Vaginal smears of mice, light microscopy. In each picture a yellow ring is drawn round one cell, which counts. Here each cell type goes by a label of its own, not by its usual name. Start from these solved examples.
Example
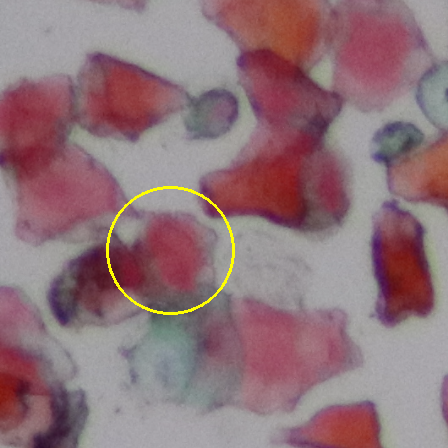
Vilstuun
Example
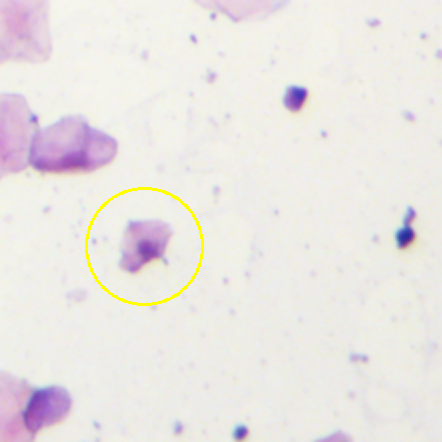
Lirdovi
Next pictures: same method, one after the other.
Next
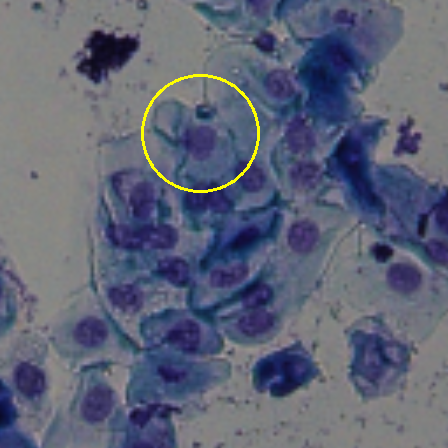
Lirdovi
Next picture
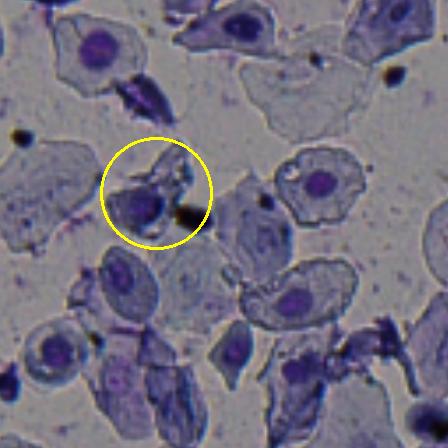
Lirdovi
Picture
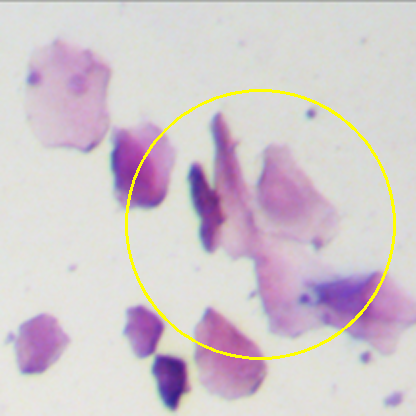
Vilstuun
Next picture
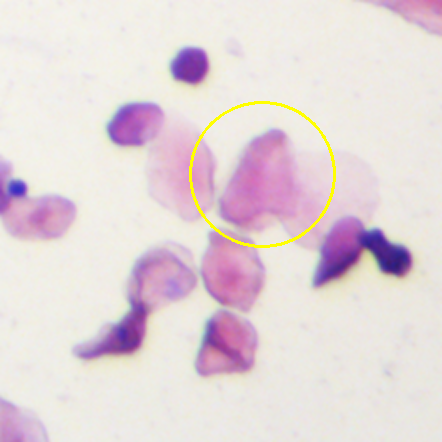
Vilstuun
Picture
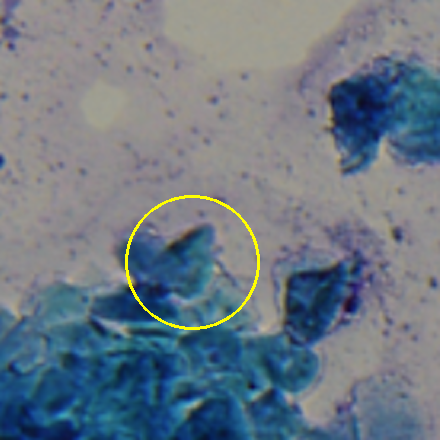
Vilstuun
